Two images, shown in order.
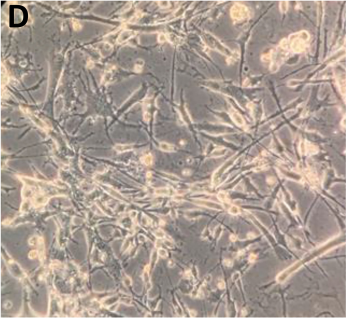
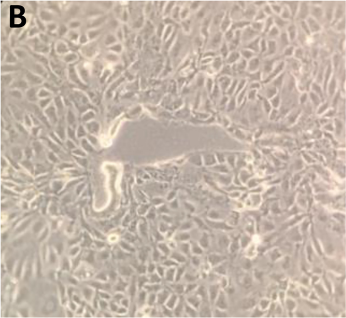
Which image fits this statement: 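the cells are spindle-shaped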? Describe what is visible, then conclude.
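The first image. First image: many long, thin, tapering cells crossing each other. Second image: compact, short polygonal cells packed in a sheet.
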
